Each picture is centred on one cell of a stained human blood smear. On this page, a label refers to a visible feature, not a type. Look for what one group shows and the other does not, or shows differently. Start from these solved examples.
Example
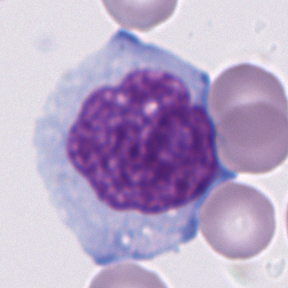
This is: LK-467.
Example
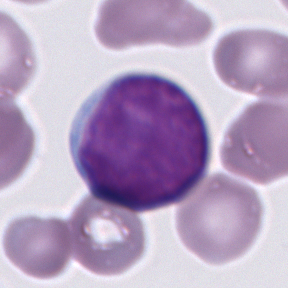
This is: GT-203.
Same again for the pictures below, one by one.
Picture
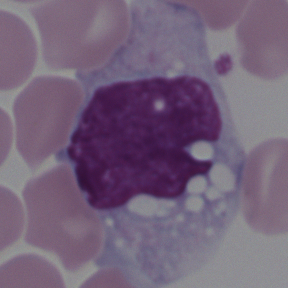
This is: LK-467.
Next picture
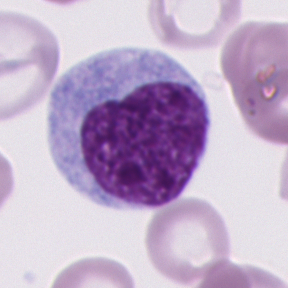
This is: GT-203.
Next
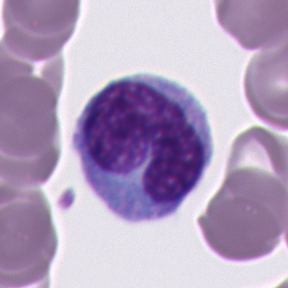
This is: GT-203.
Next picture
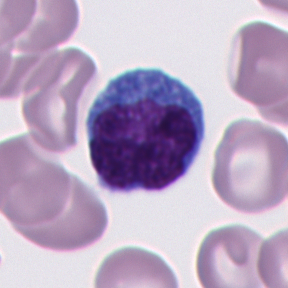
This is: GT-203.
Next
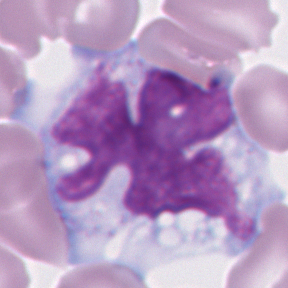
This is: LK-467.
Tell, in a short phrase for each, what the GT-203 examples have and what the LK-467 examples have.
In GT-203: no vacuoles. In LK-467: vacuoles present.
